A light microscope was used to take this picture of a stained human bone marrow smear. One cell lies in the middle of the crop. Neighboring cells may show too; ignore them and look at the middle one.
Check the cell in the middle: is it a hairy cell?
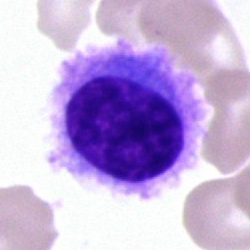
yes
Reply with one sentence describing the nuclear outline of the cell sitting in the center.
The nucleus amounts to one compact mass with a round, oval or kidney-shaped outline.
